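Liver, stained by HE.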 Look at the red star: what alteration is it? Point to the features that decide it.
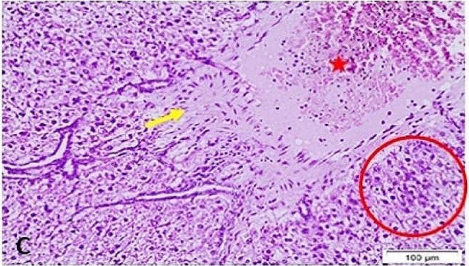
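Thrombosis of the portal blood vessels. A vessel lumen is filled with a pale pink mass mixed with blood cells. The mass occupies the lumen within the vessel wall.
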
